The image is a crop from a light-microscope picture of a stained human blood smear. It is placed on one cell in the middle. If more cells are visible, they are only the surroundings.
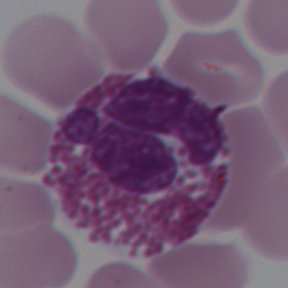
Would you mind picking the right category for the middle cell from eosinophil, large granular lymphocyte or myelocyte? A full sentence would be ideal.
The cell at the centre of the field is an eosinophil.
